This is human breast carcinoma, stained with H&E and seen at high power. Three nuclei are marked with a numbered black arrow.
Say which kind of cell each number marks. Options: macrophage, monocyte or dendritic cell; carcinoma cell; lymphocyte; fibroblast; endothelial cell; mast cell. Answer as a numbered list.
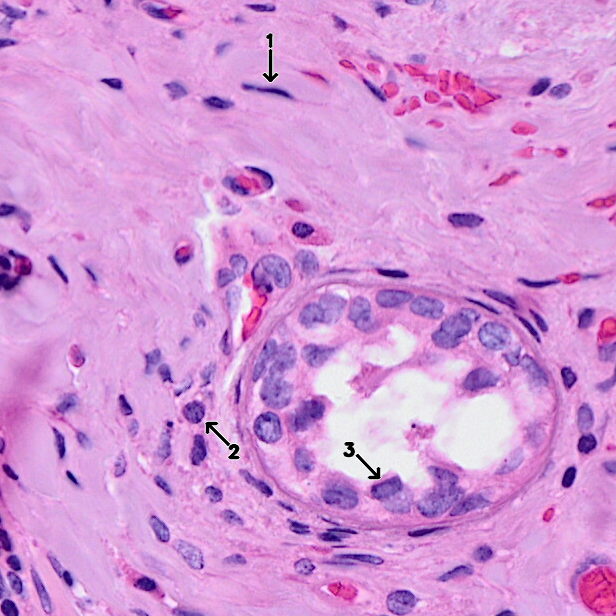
1. fibroblast
2. macrophage, monocyte or dendritic cell
3. carcinoma cell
